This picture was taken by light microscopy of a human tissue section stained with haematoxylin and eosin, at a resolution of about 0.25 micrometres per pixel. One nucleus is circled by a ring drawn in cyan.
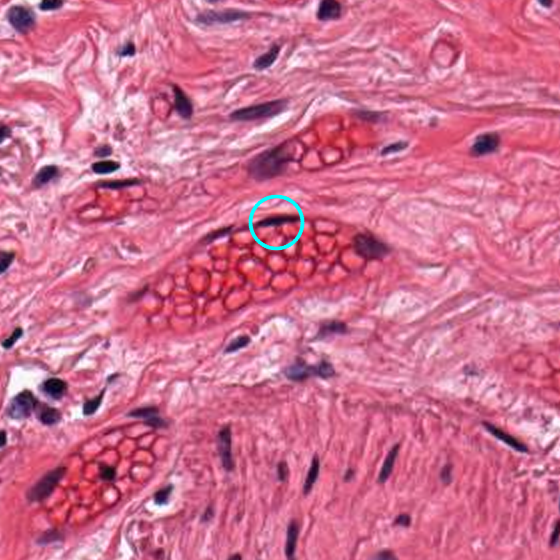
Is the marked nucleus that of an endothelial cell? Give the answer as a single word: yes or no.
yes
